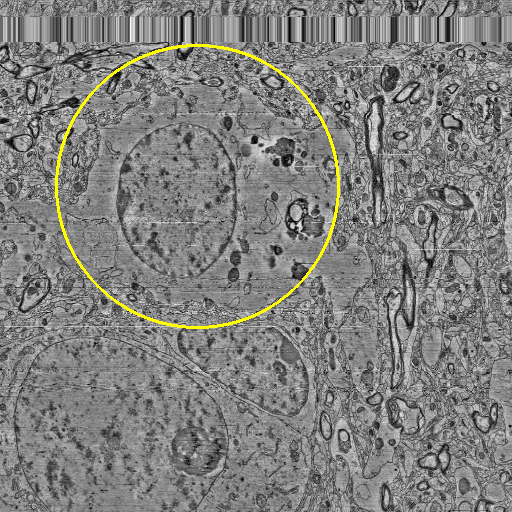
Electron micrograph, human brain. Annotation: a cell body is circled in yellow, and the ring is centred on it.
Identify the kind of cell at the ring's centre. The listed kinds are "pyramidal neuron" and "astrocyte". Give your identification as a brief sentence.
The circled cell body is that of an astrocyte.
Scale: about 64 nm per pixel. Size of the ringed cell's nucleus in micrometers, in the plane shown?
In this plane the nucleus measures roughly 10 by 8 micrometers.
